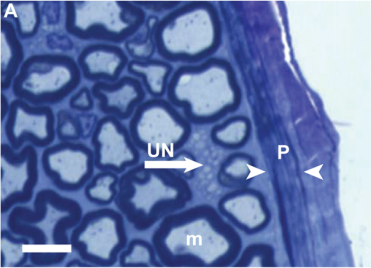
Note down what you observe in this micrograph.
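This semithin cross-section of peripheral nerve shows myelinated fibers, a small cluster of unmyelinated fibers and the perineurium at the nerve's edge. The myelinated fibers appear as thick, dark blue rings around pale, irregularly rounded axons of differing sizes, packed closely together. Between them, a group of much smaller, pale profiles without dark rings forms a finely speckled patch.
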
